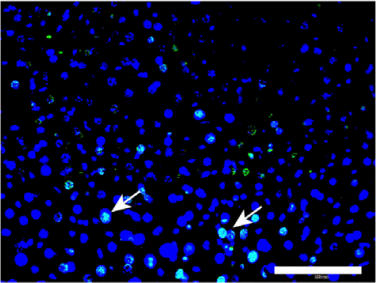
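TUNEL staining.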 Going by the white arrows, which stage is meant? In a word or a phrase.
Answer: apoptotic cells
